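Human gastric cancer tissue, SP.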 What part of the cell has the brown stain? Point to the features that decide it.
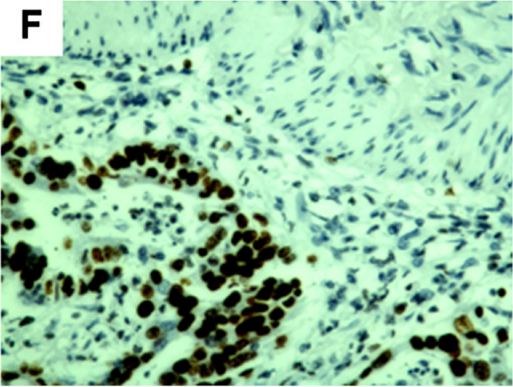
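Nuclear. The brown stain fills round and oval nuclei of the clustered cells. Cytoplasm around the brown nuclei stays pale. Spindle-shaped stromal nuclei are mostly blue.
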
